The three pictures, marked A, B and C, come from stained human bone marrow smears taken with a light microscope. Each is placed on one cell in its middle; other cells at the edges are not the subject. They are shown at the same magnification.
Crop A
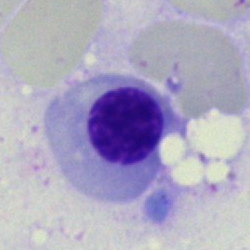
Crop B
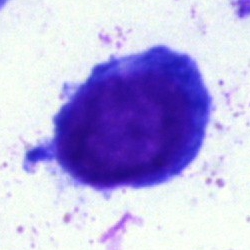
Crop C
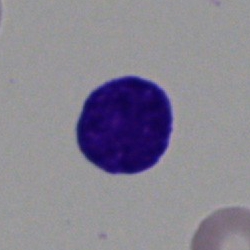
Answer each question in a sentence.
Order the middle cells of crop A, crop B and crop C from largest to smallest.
Largest first: B, A, C.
